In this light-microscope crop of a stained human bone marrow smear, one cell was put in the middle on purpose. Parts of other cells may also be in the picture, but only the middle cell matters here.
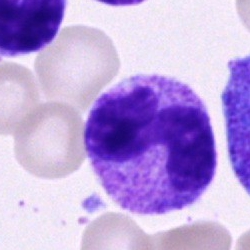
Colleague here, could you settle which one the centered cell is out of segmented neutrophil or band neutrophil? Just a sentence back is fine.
The cell of interest, in the center, is a segmented neutrophil.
